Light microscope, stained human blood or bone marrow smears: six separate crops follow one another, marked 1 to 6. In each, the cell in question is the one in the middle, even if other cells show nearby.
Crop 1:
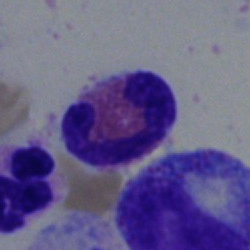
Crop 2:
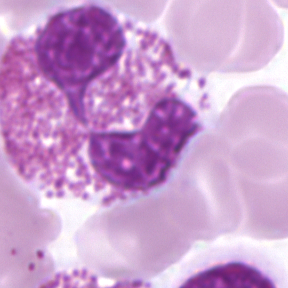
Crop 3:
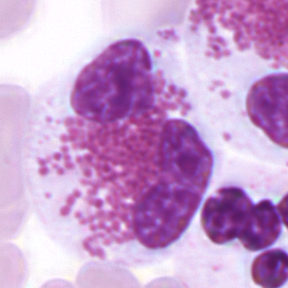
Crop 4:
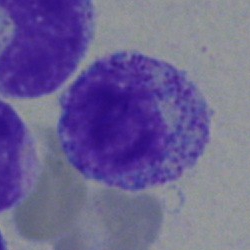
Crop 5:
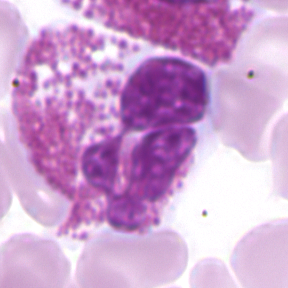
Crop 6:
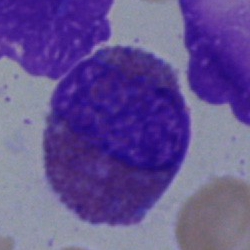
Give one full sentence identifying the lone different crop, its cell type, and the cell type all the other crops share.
Only crop 4 differs, being a myelocyte, while the others all show eosinophils.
